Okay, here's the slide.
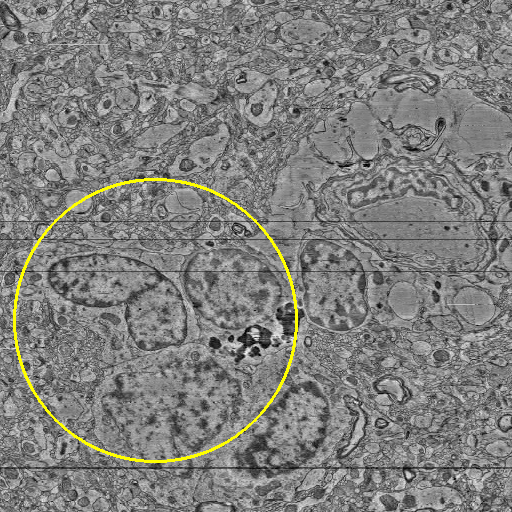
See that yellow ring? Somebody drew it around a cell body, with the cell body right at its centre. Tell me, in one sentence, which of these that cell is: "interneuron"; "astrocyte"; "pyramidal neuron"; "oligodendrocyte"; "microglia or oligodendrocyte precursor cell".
The cell in the middle of the ring is a microglial cell or oligodendrocyte precursor cell.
